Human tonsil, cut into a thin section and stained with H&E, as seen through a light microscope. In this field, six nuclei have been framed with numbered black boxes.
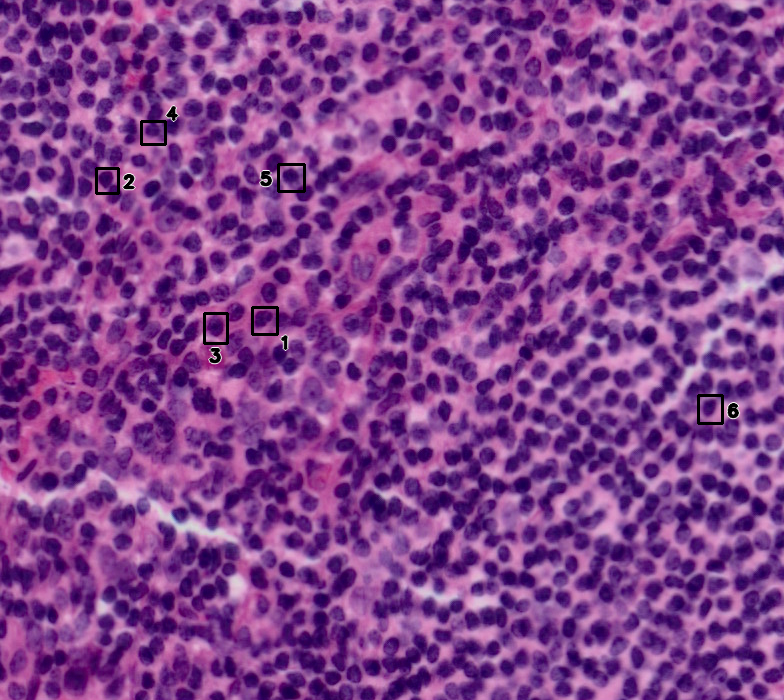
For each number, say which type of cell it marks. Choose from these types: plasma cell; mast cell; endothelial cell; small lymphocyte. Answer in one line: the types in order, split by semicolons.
plasma cell; small lymphocyte; plasma cell; small lymphocyte; small lymphocyte; small lymphocyte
